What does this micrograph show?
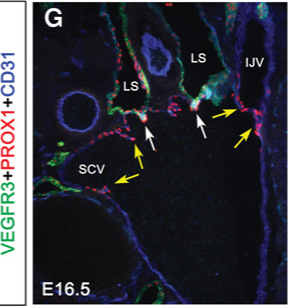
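This section through the neck shows lymph sacs lined by green-stained endothelial cells lying beside large veins whose thin walls are outlined in blue. Where the lymph sacs meet the veins, small groups of cells with bright red nuclei project into the junction, forming valve leaflets between the two spaces. The vein lumens are large and mostly empty, while several smaller round vessels with thicker blue walls lie in the surrounding tissue.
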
